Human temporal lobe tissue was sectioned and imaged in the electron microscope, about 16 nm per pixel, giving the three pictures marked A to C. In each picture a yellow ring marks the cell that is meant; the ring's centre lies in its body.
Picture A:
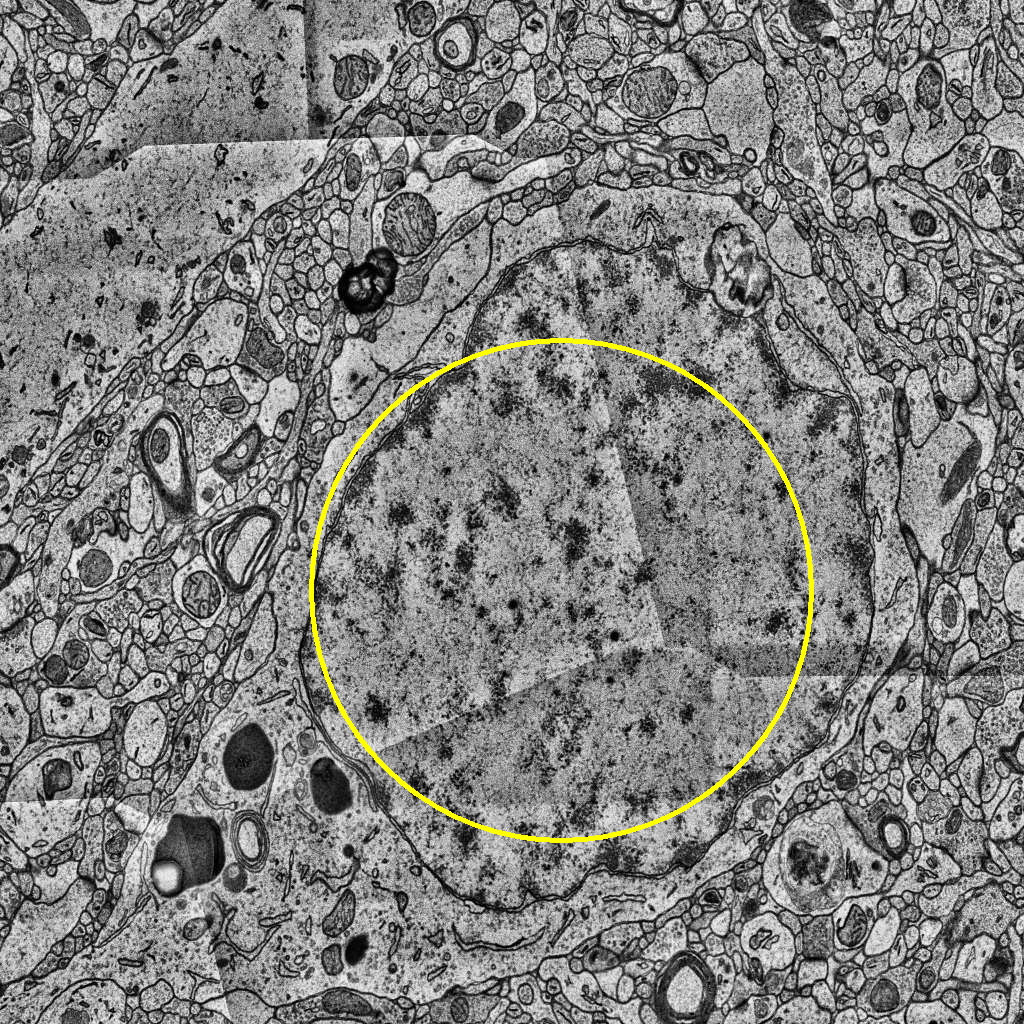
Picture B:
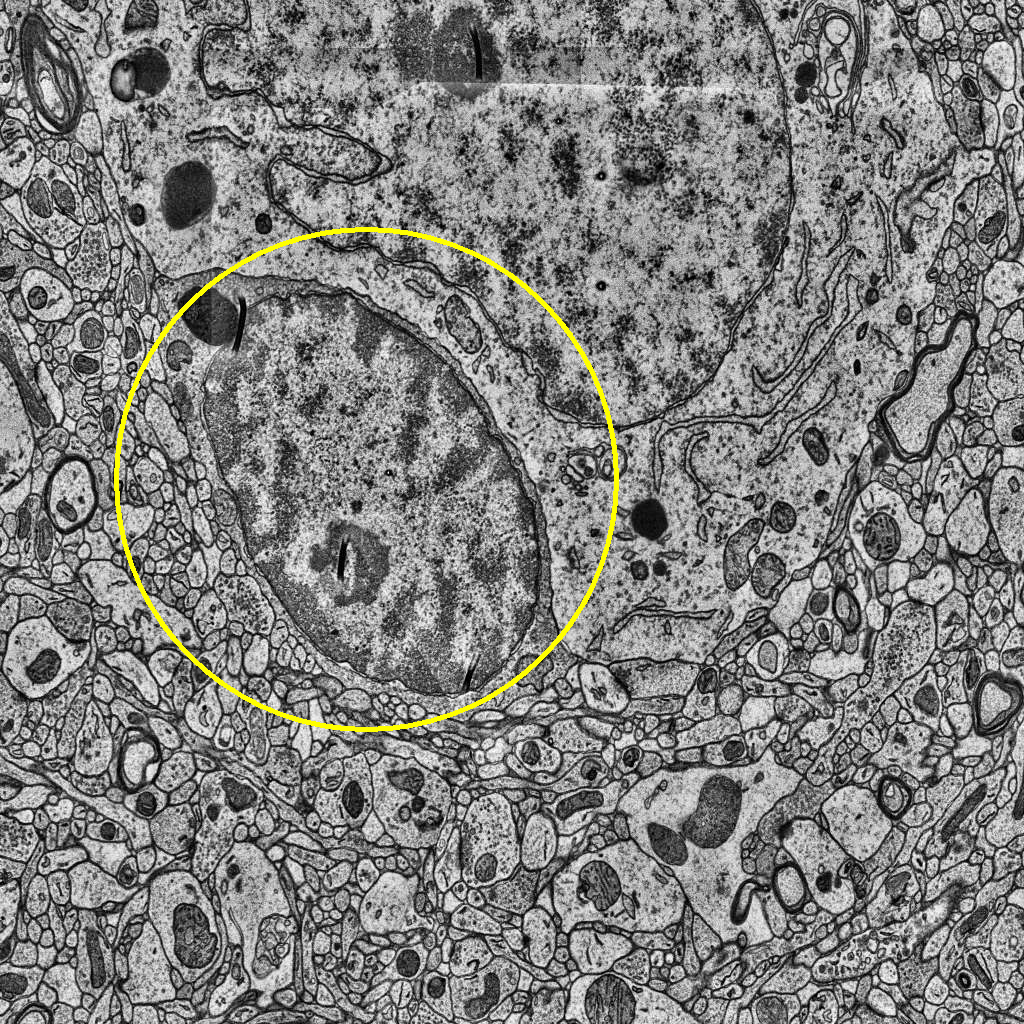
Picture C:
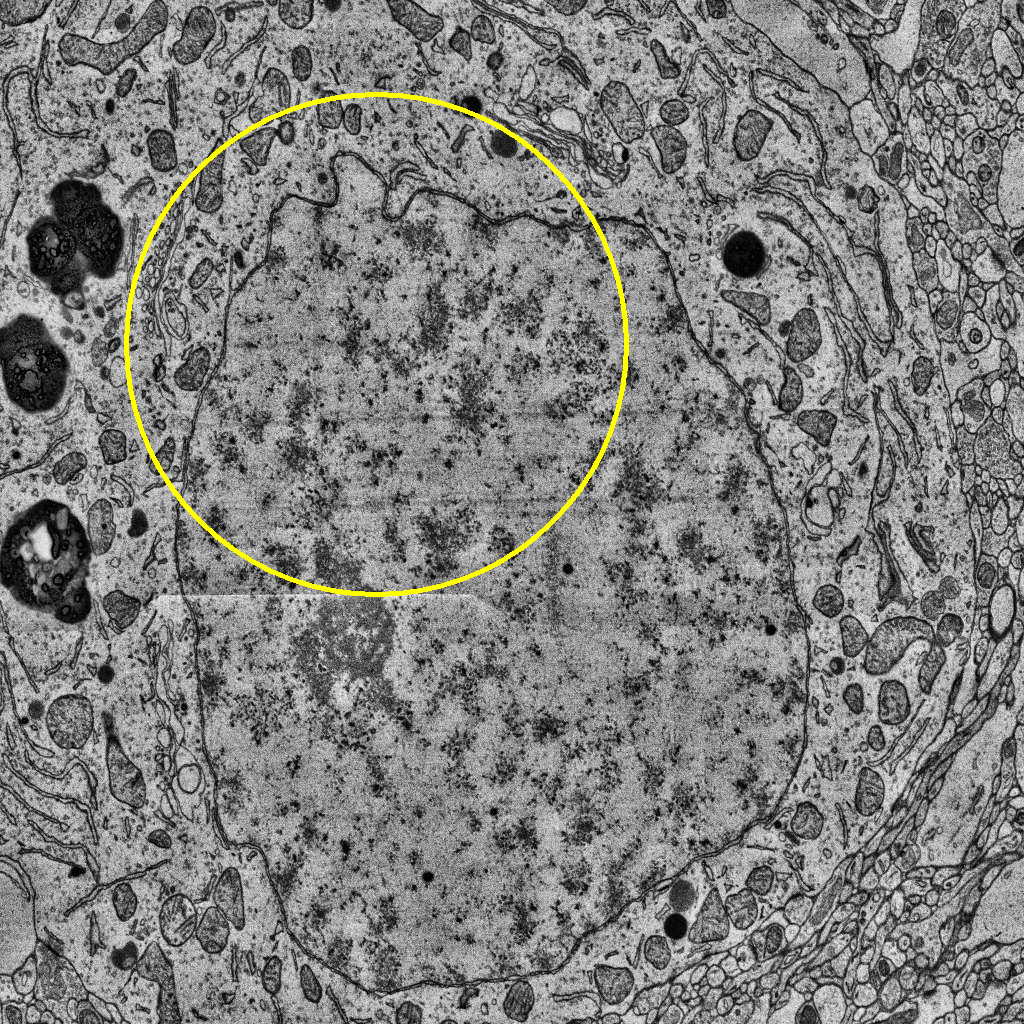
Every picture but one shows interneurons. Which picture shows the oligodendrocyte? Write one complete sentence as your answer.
The cell in picture B is the oligodendrocyte.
